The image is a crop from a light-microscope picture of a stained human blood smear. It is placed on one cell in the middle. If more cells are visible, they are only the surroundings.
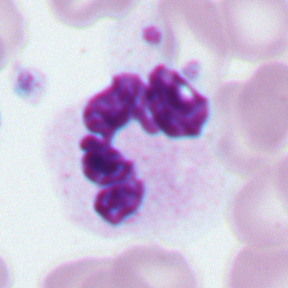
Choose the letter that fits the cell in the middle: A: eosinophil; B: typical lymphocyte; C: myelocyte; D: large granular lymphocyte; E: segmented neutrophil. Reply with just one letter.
E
